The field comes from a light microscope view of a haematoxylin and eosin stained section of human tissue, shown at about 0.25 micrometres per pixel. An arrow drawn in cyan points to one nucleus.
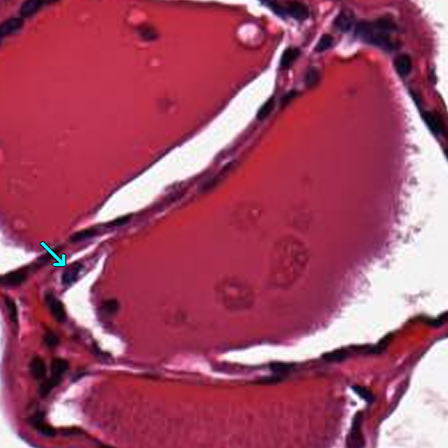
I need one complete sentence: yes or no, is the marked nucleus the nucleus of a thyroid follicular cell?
Yes, in the picture the marked nucleus belongs to a thyroid follicular cell.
